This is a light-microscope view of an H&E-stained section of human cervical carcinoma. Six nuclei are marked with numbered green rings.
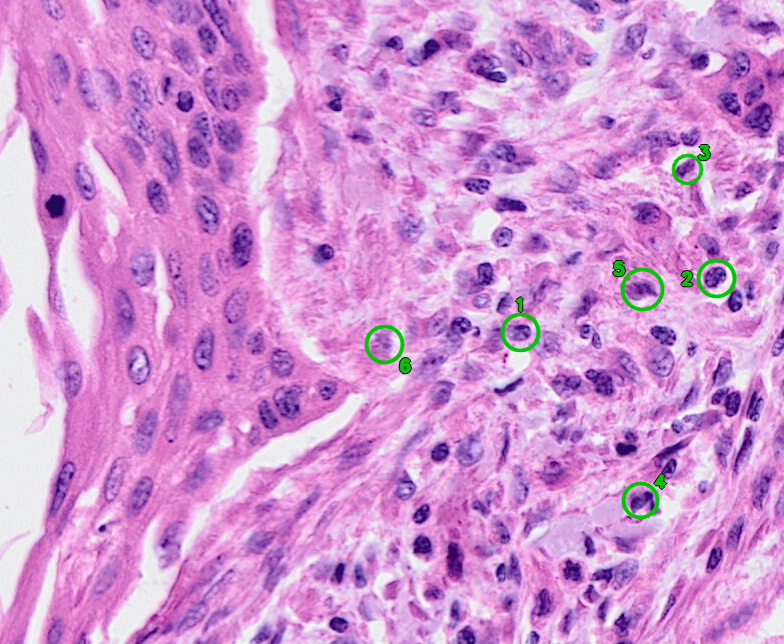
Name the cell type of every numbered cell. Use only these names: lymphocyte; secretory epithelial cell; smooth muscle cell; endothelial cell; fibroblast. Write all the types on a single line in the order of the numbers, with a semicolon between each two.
lymphocyte; lymphocyte; fibroblast; lymphocyte; fibroblast; fibroblast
